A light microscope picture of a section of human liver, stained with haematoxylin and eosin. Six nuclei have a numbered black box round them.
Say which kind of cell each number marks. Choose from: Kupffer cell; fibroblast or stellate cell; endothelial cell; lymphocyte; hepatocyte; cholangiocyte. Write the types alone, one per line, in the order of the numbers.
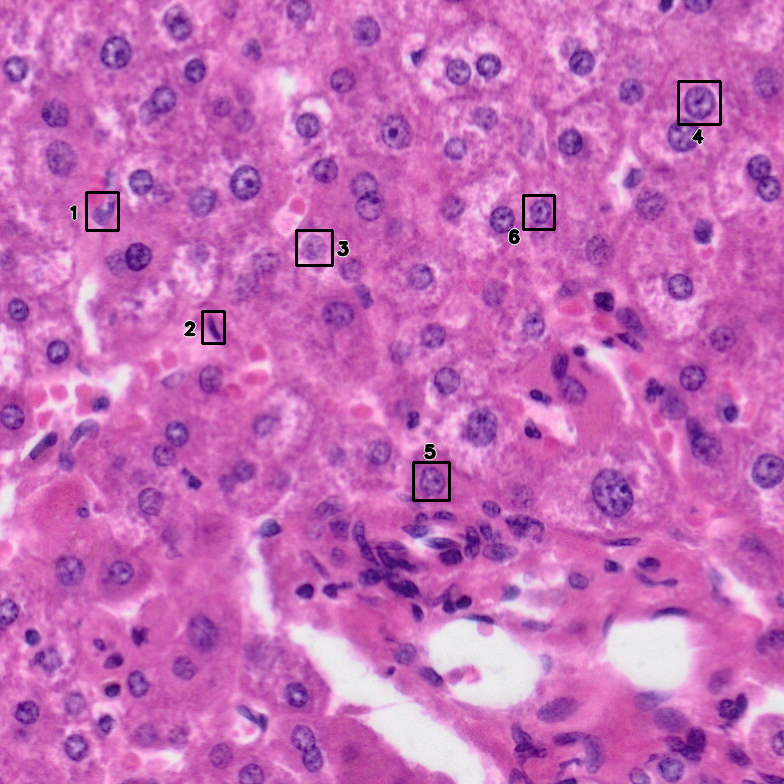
endothelial cell
fibroblast or stellate cell
hepatocyte
hepatocyte
hepatocyte
hepatocyte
